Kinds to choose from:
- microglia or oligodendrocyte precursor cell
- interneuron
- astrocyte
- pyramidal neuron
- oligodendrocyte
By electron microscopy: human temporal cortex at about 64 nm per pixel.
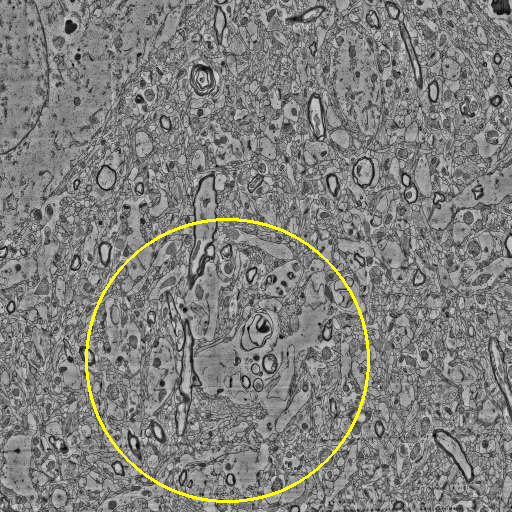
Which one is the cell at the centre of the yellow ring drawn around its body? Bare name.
microglia or oligodendrocyte precursor cell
